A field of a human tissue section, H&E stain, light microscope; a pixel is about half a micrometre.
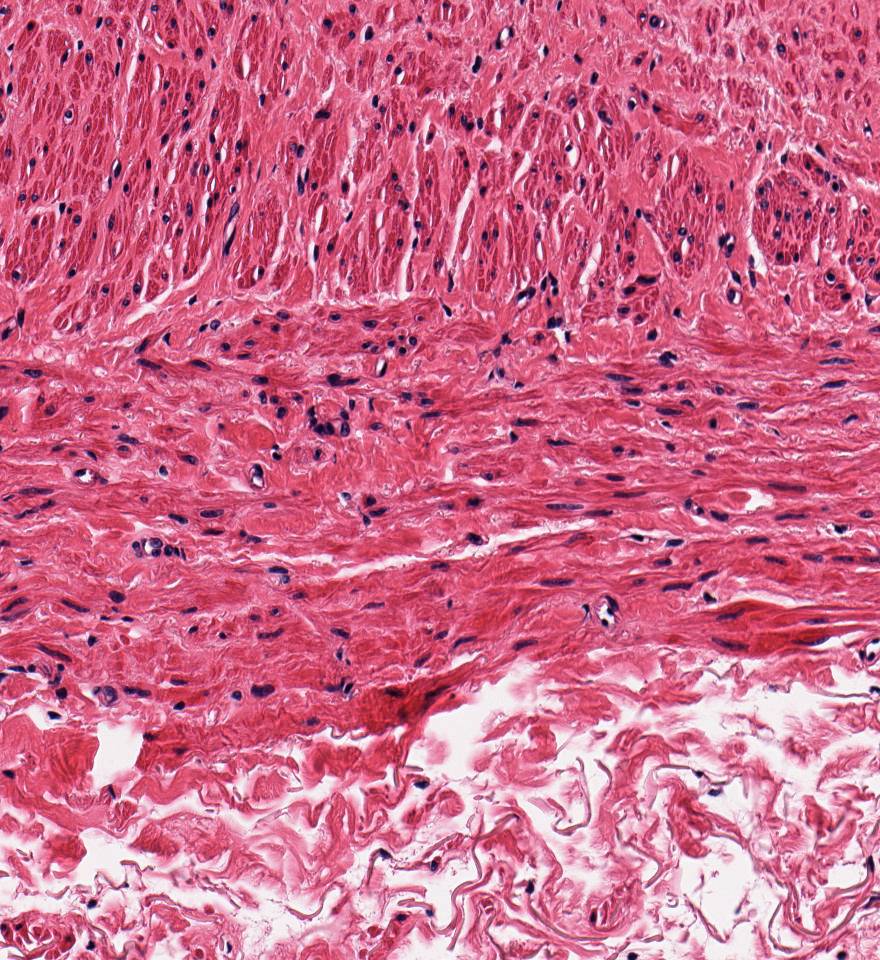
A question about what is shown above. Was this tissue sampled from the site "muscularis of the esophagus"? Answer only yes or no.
no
